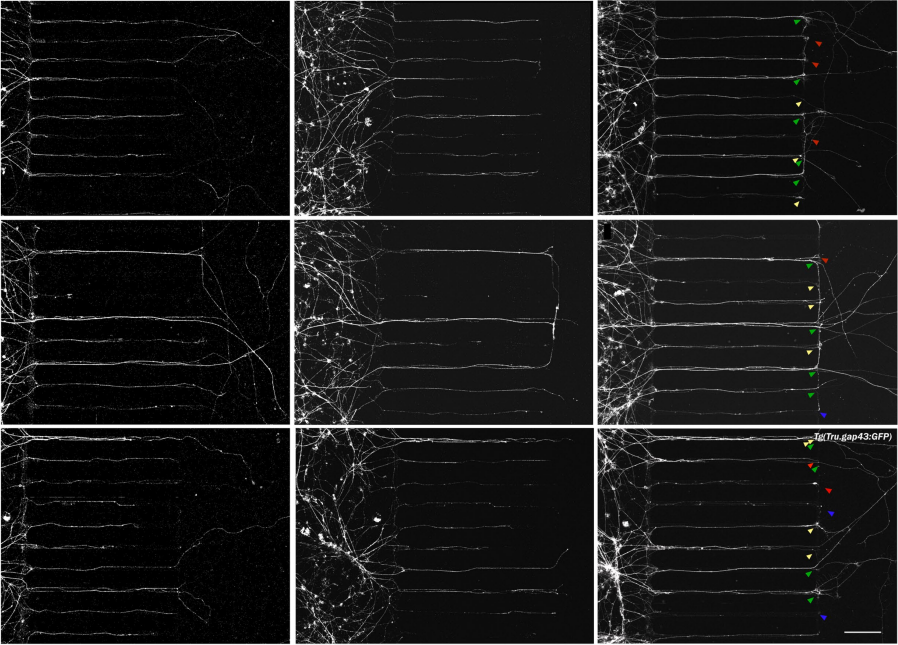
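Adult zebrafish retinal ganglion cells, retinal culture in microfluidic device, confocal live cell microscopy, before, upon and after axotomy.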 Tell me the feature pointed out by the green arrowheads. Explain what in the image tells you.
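Regenerating axons. The green arrowheads sit at the ends of straight channels in the right-hand images. Beyond several of them thin fibres run on into the open area to the right, where the middle images show cut ends.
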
